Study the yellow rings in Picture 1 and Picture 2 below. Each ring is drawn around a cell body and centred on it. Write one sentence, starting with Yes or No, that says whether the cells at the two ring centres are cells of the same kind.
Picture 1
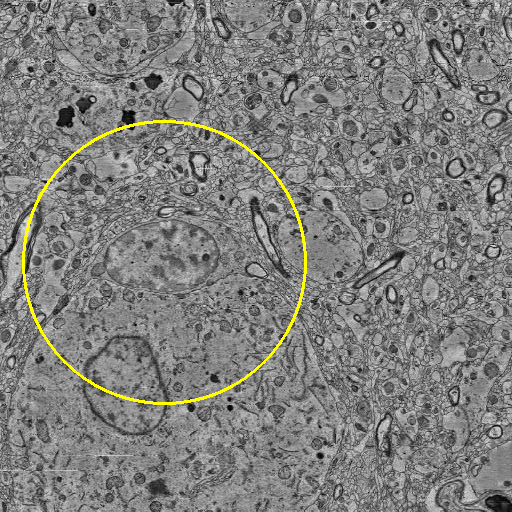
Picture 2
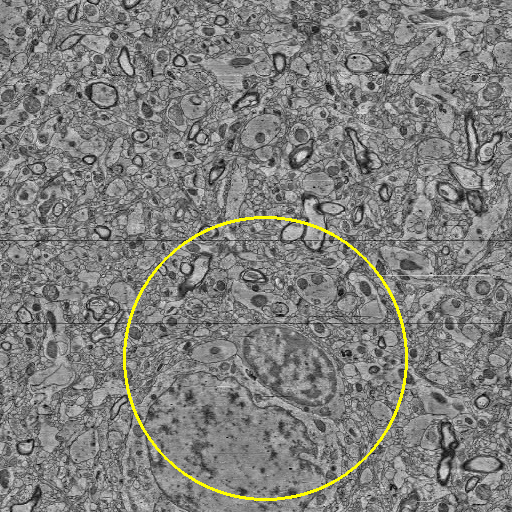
Yes, the cells at both ring centres are of the same kind.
